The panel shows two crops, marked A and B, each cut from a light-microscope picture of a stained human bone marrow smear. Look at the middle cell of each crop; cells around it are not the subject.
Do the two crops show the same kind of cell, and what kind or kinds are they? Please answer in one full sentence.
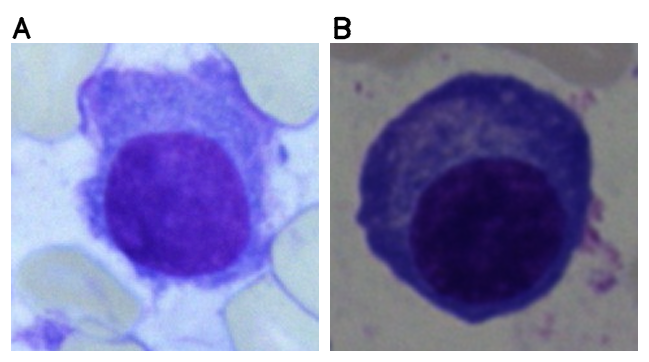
Yes, both crops show plasma cells in the centre of the field.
